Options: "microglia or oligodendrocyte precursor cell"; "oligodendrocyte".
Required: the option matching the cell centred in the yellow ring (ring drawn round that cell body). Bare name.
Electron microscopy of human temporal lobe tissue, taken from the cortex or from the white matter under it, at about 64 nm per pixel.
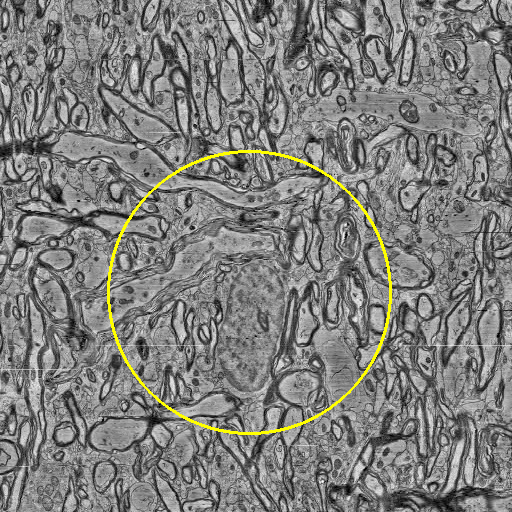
oligodendrocyte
